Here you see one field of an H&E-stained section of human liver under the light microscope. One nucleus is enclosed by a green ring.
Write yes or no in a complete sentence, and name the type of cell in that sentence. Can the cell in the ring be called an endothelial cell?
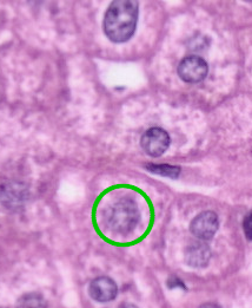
No, the cell in the ring is a hepatocyte rather than an endothelial cell.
